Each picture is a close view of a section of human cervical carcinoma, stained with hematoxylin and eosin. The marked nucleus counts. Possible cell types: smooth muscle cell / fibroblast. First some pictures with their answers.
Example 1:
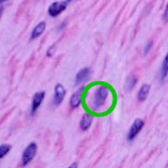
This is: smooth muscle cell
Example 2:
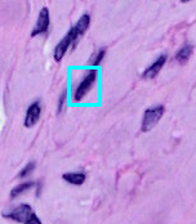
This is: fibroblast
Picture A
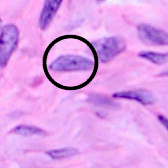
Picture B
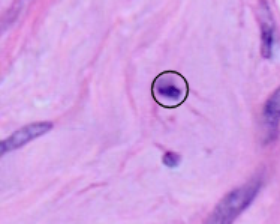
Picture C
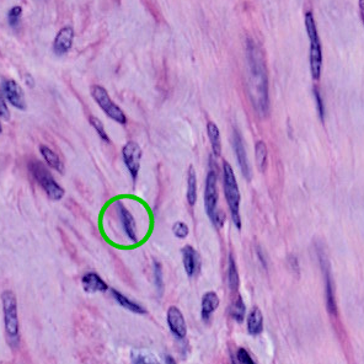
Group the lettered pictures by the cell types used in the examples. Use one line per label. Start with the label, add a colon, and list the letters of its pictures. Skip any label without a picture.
smooth muscle cell: C
fibroblast: A, B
